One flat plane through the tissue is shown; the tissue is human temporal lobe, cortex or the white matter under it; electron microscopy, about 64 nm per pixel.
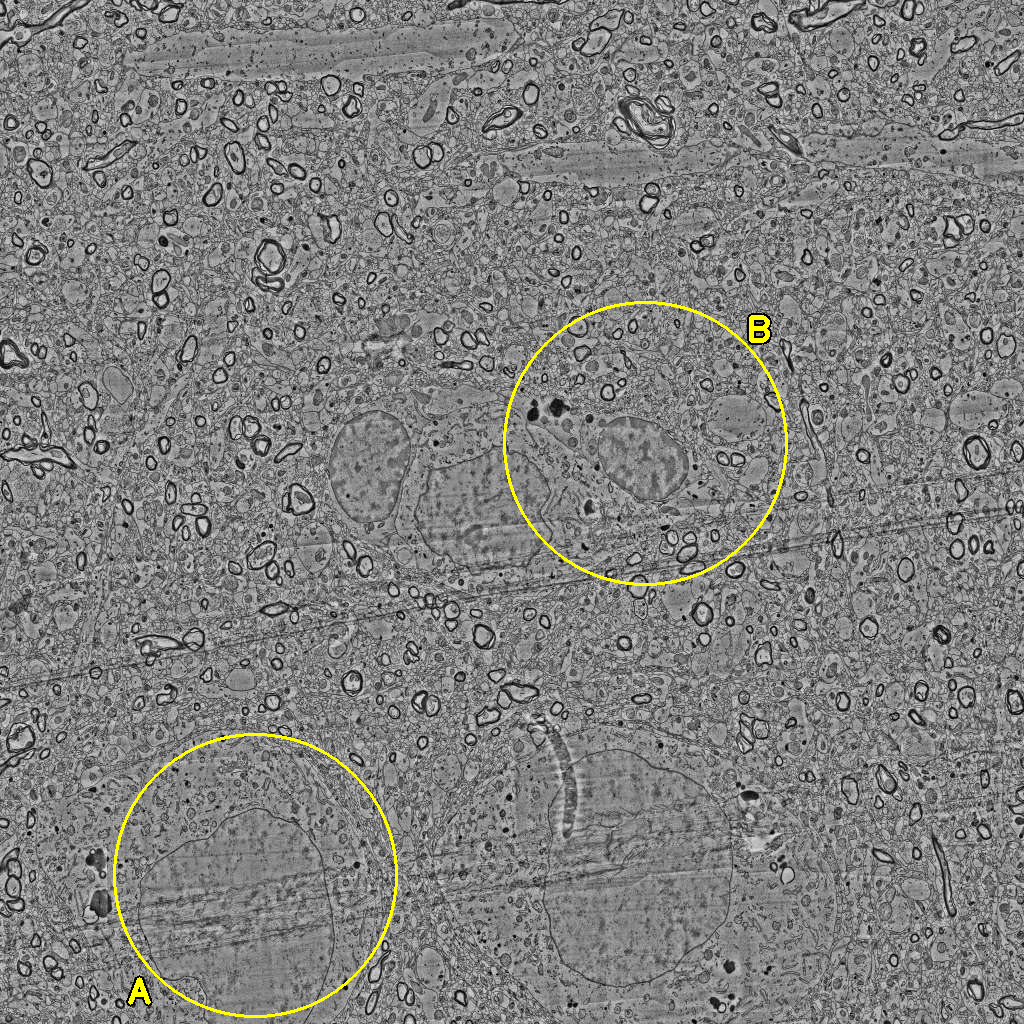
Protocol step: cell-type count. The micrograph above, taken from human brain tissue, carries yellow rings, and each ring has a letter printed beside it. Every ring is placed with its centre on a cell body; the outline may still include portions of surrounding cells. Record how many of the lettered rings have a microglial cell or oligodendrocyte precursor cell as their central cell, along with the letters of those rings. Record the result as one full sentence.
The count for rings centred on a microglial cell or oligodendrocyte precursor cell is zero, since no such ring exists here.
